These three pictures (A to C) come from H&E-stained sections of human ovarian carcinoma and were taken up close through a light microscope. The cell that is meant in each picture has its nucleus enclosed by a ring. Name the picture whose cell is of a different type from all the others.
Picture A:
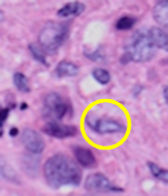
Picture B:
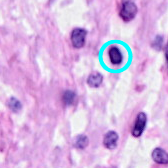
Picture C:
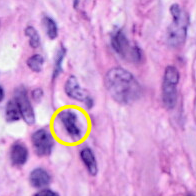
A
